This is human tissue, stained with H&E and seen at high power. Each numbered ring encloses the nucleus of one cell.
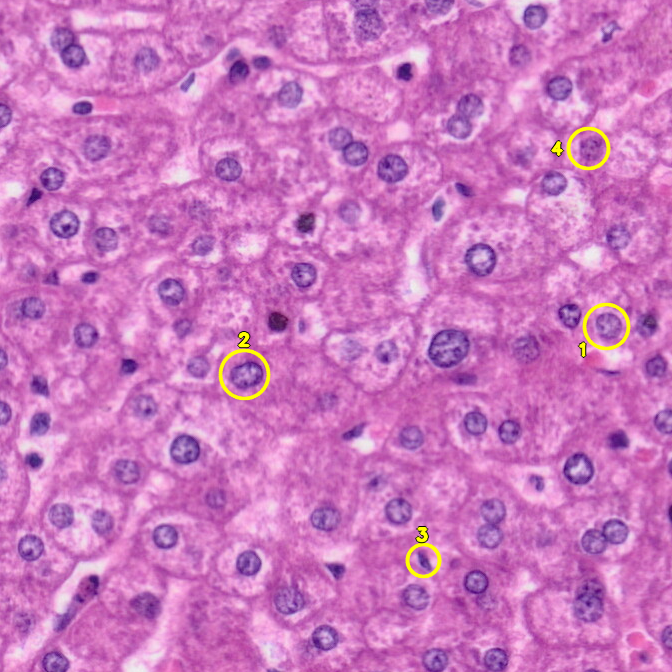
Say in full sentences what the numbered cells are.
Cell 1 is a hepatocyte, cell 2 is a hepatocyte, cell 3 is an endothelial cell and cell 4 is a hepatocyte.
